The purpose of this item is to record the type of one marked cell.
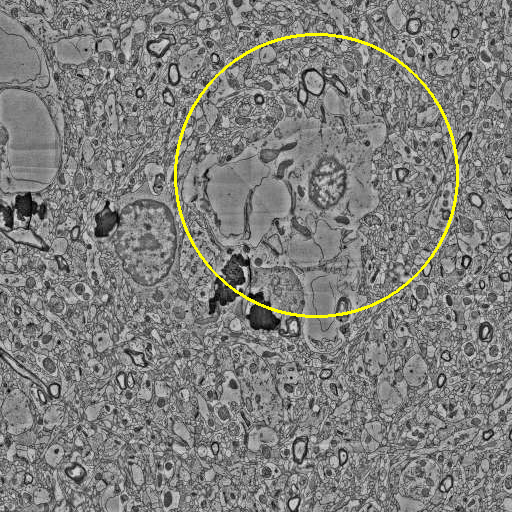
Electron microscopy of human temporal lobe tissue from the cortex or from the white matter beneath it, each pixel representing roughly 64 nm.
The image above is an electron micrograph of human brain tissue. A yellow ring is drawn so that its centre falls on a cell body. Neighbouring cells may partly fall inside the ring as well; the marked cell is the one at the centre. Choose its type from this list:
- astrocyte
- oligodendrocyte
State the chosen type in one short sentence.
What the ring marks here is an astrocyte.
